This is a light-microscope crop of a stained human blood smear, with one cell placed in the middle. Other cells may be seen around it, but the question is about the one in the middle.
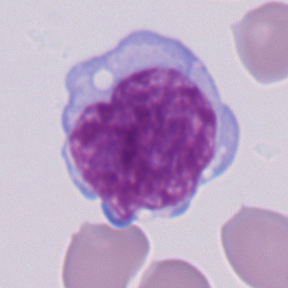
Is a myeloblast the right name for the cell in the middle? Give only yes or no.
yes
